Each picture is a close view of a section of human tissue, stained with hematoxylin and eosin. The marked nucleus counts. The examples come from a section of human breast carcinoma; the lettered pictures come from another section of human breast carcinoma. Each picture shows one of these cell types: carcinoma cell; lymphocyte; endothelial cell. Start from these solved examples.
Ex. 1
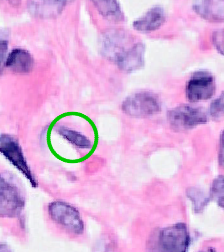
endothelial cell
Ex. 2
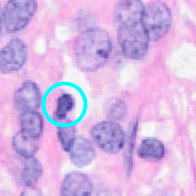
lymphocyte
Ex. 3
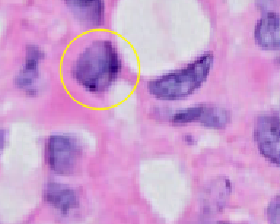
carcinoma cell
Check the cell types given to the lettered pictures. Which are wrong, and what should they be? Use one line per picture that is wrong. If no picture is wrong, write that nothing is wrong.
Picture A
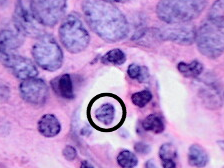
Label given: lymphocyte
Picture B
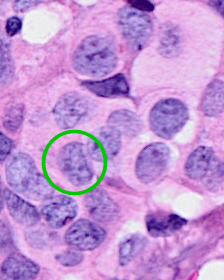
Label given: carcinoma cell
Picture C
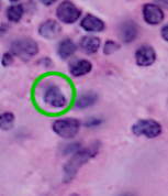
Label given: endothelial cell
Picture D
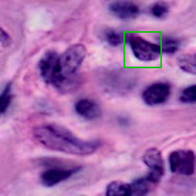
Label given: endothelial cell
Wrong: C (endothelial cell); correct: lymphocyte
Wrong: D (endothelial cell); correct: lymphocyte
